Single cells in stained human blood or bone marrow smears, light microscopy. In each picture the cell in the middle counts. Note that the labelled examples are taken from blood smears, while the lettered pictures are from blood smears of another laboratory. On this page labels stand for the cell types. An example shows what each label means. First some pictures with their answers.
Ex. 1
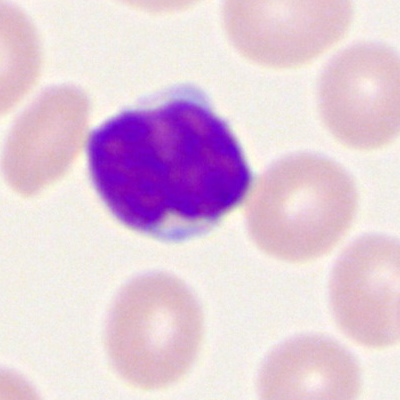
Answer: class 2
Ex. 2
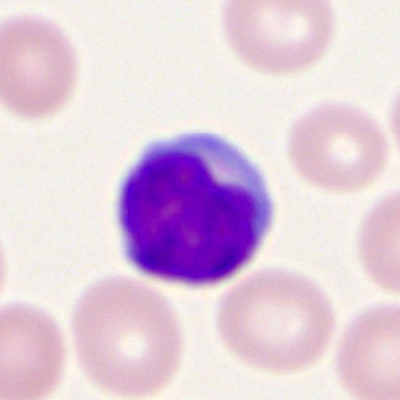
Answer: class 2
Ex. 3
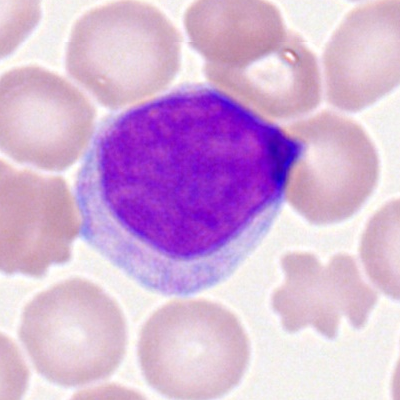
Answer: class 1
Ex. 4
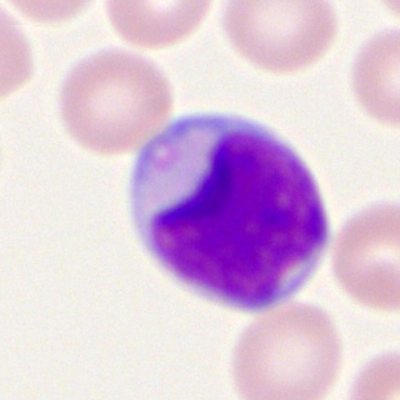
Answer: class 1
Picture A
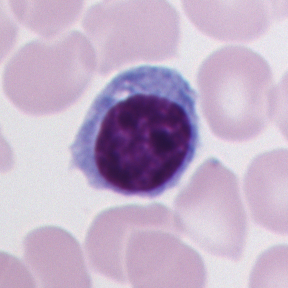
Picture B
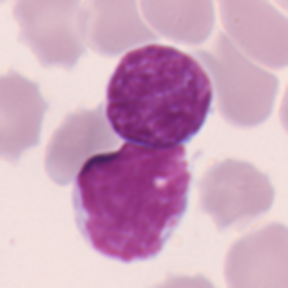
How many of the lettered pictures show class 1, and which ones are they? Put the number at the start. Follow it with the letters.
Count: 1 (B)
